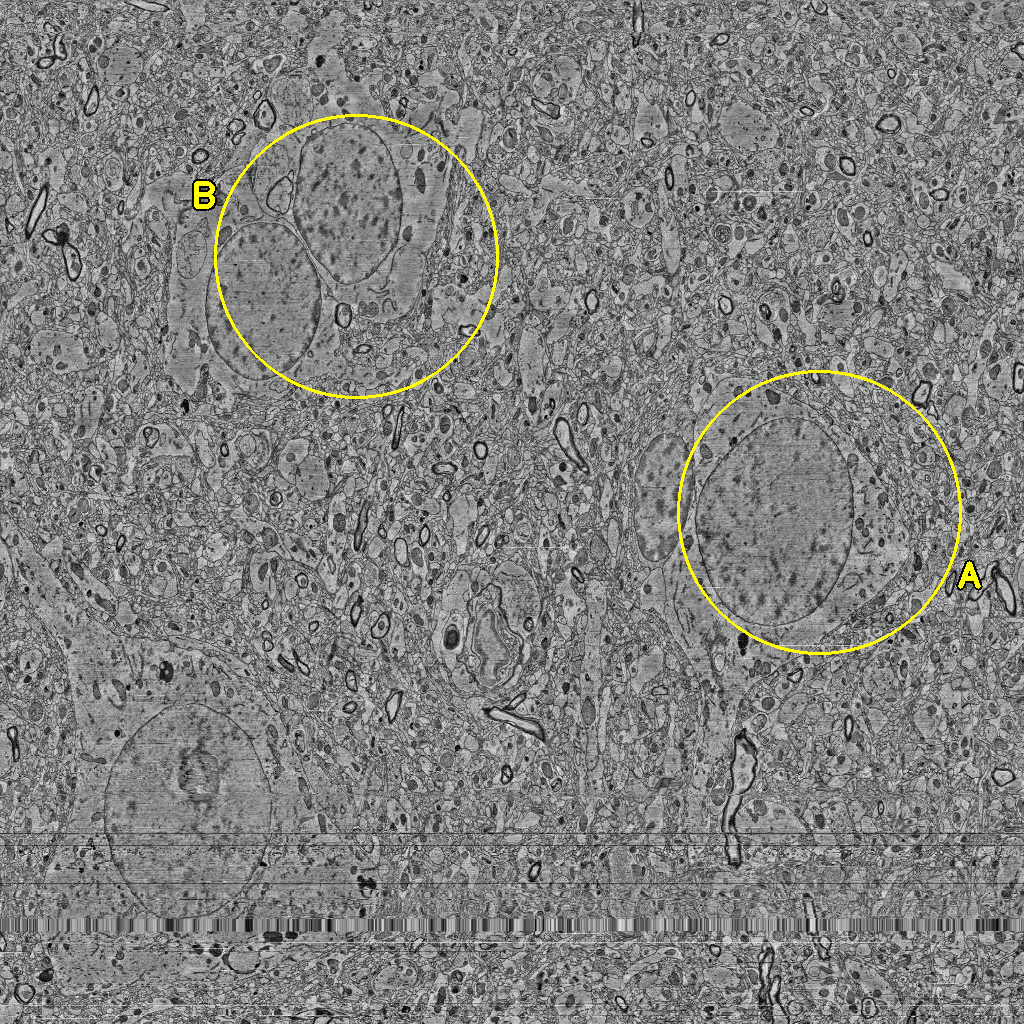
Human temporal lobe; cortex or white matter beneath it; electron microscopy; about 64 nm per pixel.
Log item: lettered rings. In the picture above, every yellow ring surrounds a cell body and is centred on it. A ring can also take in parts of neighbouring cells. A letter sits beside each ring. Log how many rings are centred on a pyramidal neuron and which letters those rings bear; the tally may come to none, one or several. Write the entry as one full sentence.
Of all the rings, only one has a pyramidal neuron at its centre, and it bears the letter A.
